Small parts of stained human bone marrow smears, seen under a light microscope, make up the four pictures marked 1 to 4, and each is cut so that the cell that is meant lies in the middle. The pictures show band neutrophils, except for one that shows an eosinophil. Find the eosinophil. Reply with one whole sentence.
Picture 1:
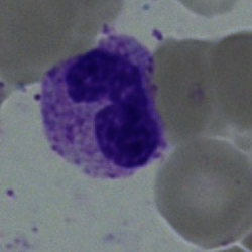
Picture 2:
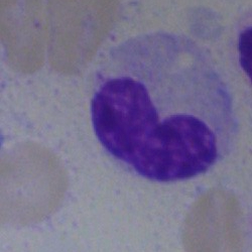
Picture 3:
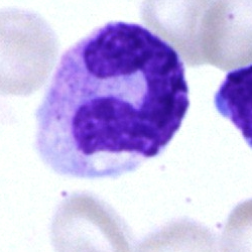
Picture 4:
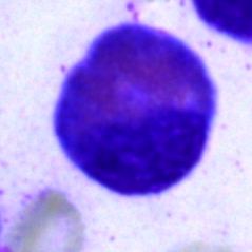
The cell in picture 4 is the eosinophil.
